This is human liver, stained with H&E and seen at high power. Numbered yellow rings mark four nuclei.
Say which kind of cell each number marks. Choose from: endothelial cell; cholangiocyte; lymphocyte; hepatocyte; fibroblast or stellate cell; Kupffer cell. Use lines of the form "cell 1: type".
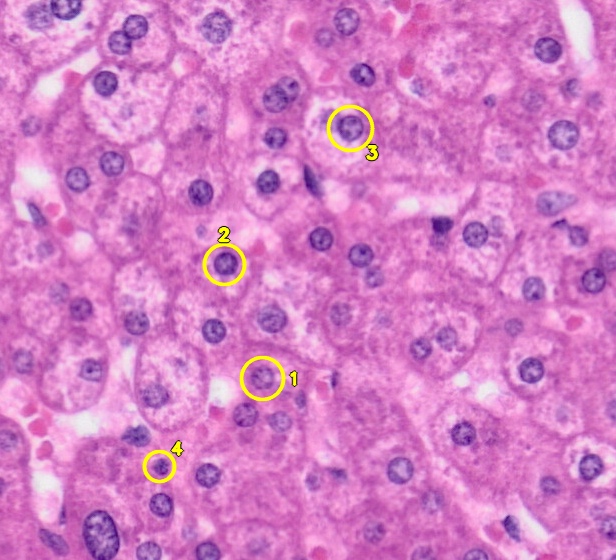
cell 1: hepatocyte
cell 2: hepatocyte
cell 3: hepatocyte
cell 4: lymphocyte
